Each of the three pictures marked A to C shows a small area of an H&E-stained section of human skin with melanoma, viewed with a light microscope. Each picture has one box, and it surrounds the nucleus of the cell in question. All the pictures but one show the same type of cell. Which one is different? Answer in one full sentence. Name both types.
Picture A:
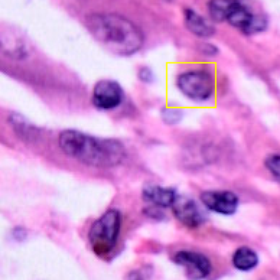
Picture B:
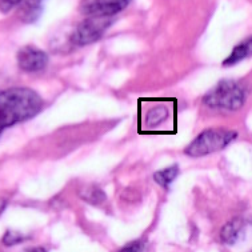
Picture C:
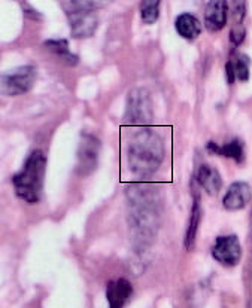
Unlike the rest, which show “macrophages or monocytes”, picture C shows a melanoma cell.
